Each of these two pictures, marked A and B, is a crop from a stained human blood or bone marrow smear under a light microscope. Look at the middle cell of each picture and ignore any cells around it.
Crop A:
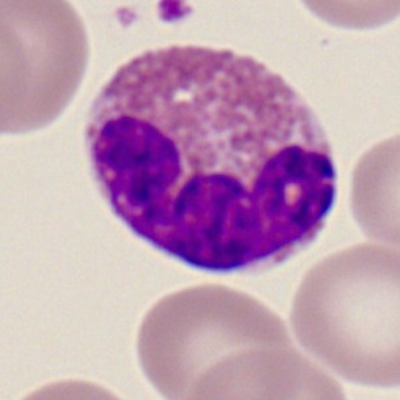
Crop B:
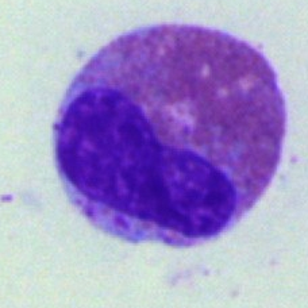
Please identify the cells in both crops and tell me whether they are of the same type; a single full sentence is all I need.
Yes, the cells that both crops show at the centre are eosinophils.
